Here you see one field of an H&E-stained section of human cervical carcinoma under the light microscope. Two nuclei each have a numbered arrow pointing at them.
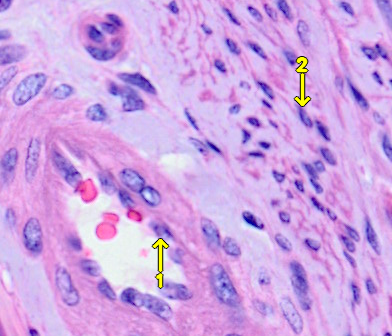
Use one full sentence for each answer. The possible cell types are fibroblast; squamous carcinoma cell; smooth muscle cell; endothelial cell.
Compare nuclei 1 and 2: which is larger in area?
At about 1.5 times the area of nucleus 2, nucleus 1 is the larger of the two.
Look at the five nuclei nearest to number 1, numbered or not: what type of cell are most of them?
Most of the five nuclei nearest to number 1 are those of smooth muscle cells.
